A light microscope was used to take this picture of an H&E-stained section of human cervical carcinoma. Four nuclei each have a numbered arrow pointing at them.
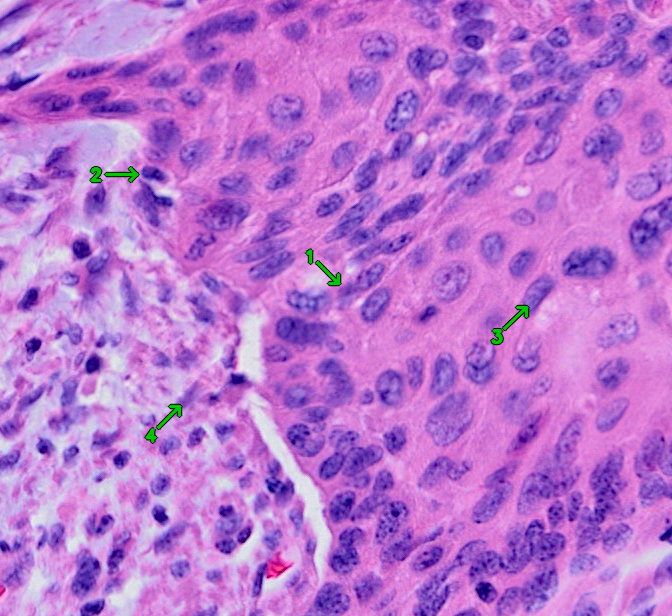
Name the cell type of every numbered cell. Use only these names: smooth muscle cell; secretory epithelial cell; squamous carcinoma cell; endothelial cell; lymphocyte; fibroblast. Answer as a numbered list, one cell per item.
1. squamous carcinoma cell
2. lymphocyte
3. squamous carcinoma cell
4. fibroblast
